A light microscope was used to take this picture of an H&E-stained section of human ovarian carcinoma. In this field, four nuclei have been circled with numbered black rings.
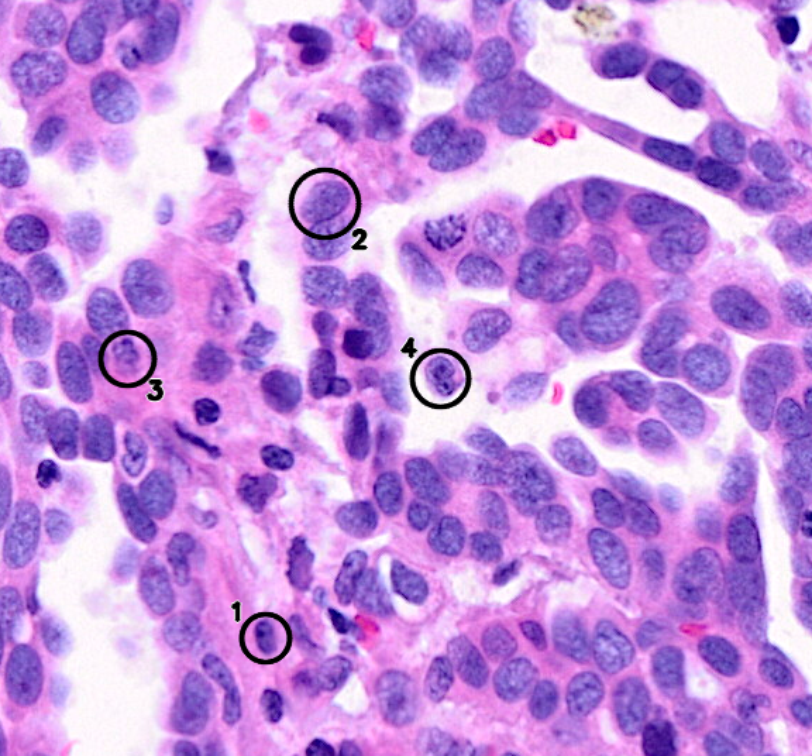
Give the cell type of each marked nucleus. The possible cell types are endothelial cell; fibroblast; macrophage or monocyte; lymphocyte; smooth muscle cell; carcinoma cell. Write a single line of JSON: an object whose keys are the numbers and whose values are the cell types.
{"1": "lymphocyte", "2": "carcinoma cell", "3": "macrophage or monocyte", "4": "macrophage or monocyte"}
